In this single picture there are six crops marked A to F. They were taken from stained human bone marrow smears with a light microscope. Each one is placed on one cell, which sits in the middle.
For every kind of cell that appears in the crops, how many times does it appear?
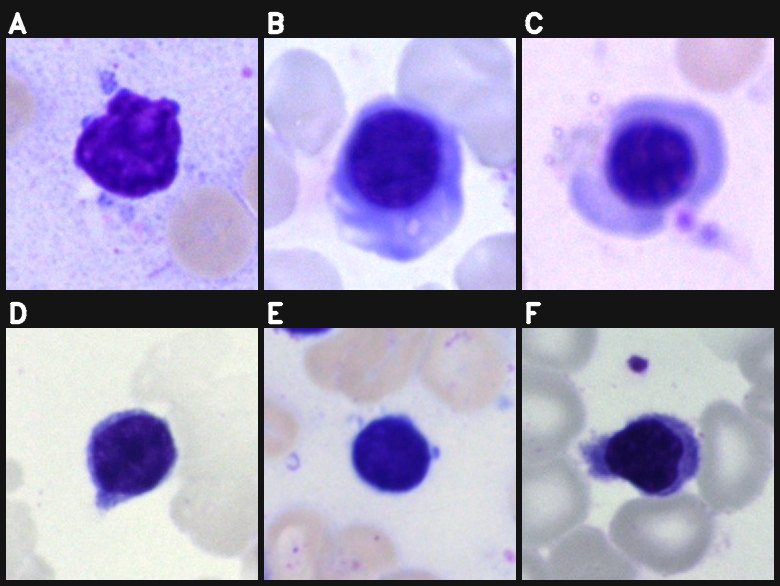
lymphocyte: 3
erythroblast: 3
